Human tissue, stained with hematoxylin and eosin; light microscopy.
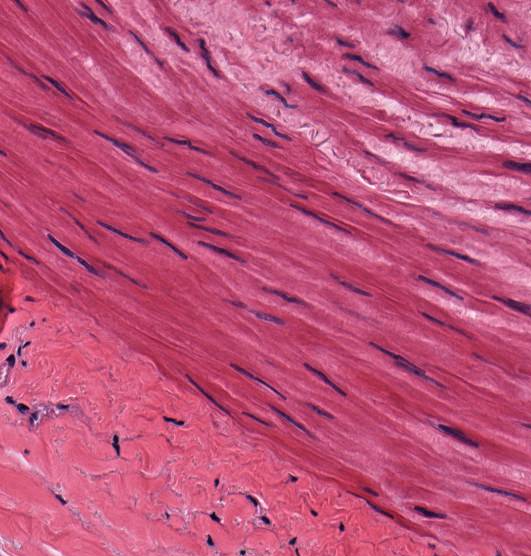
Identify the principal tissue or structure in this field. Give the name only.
tunica media of an artery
